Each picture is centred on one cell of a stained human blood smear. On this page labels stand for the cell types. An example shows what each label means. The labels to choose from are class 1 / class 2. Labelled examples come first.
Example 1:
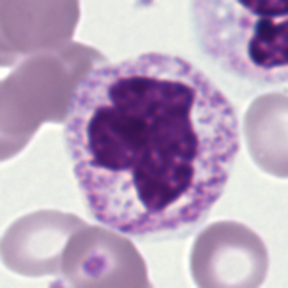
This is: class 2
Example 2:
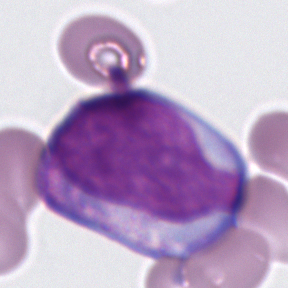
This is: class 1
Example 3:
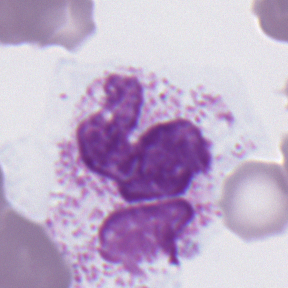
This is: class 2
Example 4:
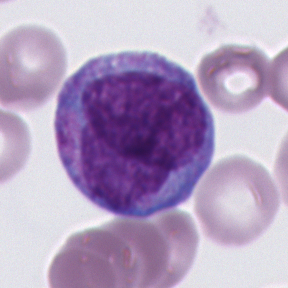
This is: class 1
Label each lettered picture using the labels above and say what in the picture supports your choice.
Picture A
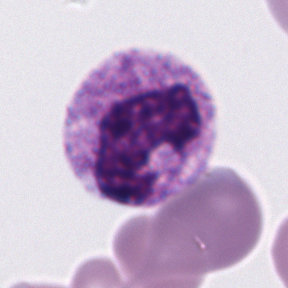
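class 2. The cytoplasm is plentiful and forms its broadest band above the nucleus.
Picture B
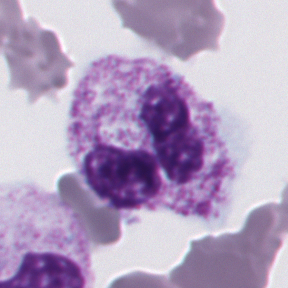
class 2. The nucleus has two lobes.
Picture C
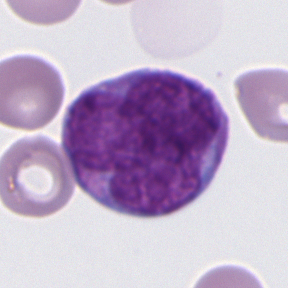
class 1. The cytoplasm forms only a narrow rim around the nucleus.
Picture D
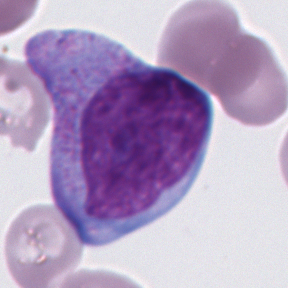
class 1. The cytoplasm is blue and is deepest blue along the lower border of the cell.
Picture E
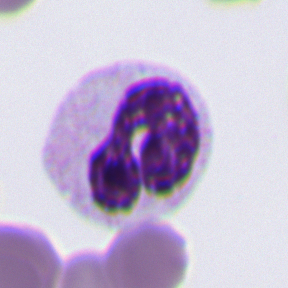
class 2. The cytoplasm is plentiful and pale pinkish-lilac.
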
